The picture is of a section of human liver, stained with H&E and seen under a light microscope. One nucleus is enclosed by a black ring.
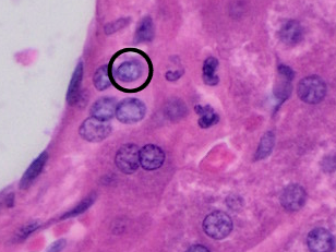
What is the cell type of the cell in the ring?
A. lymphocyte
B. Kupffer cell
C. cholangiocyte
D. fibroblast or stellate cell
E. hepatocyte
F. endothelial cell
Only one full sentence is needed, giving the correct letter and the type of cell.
Option C matches the cell in the ring, which is a cholangiocyte.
